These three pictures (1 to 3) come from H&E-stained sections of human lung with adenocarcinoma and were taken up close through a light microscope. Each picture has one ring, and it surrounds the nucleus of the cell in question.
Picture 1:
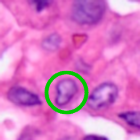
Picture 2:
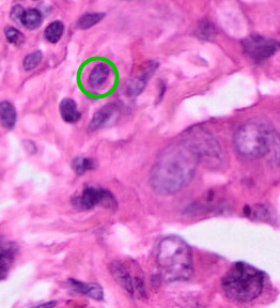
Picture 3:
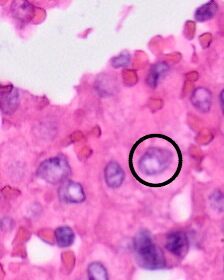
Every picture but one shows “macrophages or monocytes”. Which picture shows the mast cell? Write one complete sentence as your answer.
Picture 2 shows the mast cell.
